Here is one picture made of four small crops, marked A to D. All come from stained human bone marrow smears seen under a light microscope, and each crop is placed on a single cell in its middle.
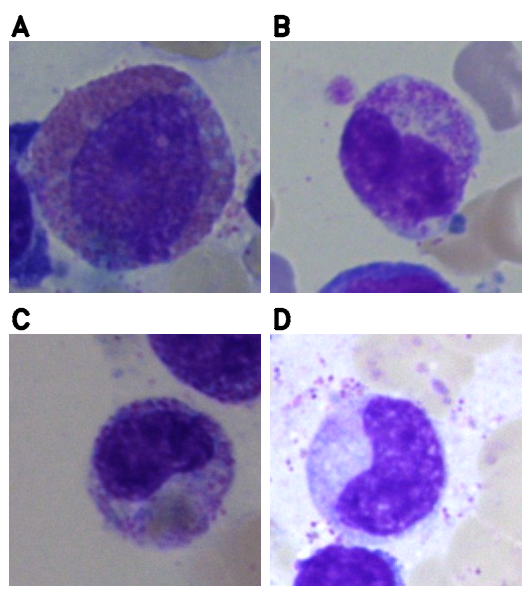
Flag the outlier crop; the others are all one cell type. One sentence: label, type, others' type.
Every crop but one shows metamyelocytes; the exception, crop A, shows an eosinophil.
